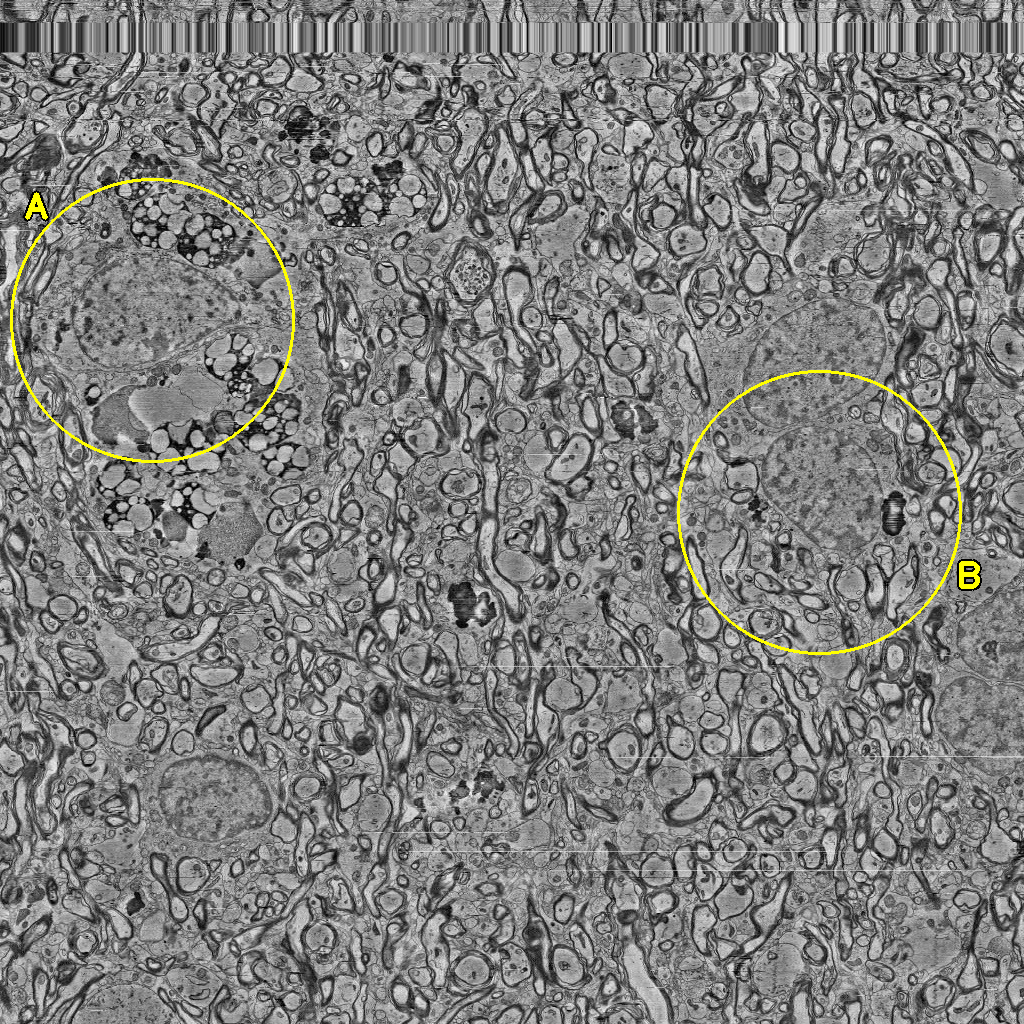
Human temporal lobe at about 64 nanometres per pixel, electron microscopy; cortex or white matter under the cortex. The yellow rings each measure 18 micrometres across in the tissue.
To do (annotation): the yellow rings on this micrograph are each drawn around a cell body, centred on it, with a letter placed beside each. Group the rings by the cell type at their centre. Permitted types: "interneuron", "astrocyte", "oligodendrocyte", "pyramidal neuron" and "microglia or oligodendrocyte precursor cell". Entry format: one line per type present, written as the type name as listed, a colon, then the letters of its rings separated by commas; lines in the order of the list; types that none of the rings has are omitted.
astrocyte: A
oligodendrocyte: B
